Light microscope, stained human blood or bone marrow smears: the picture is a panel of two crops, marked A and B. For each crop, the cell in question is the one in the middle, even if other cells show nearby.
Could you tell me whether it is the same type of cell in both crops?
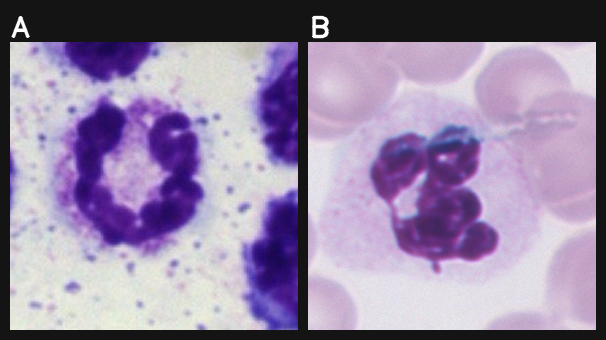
yes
